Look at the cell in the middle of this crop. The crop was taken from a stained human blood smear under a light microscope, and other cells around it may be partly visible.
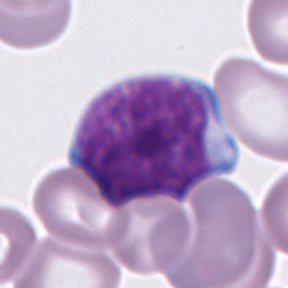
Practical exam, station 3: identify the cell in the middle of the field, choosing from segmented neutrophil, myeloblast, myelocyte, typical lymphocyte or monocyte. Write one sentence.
By classification, the middle cell of this crop is a myeloblast.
